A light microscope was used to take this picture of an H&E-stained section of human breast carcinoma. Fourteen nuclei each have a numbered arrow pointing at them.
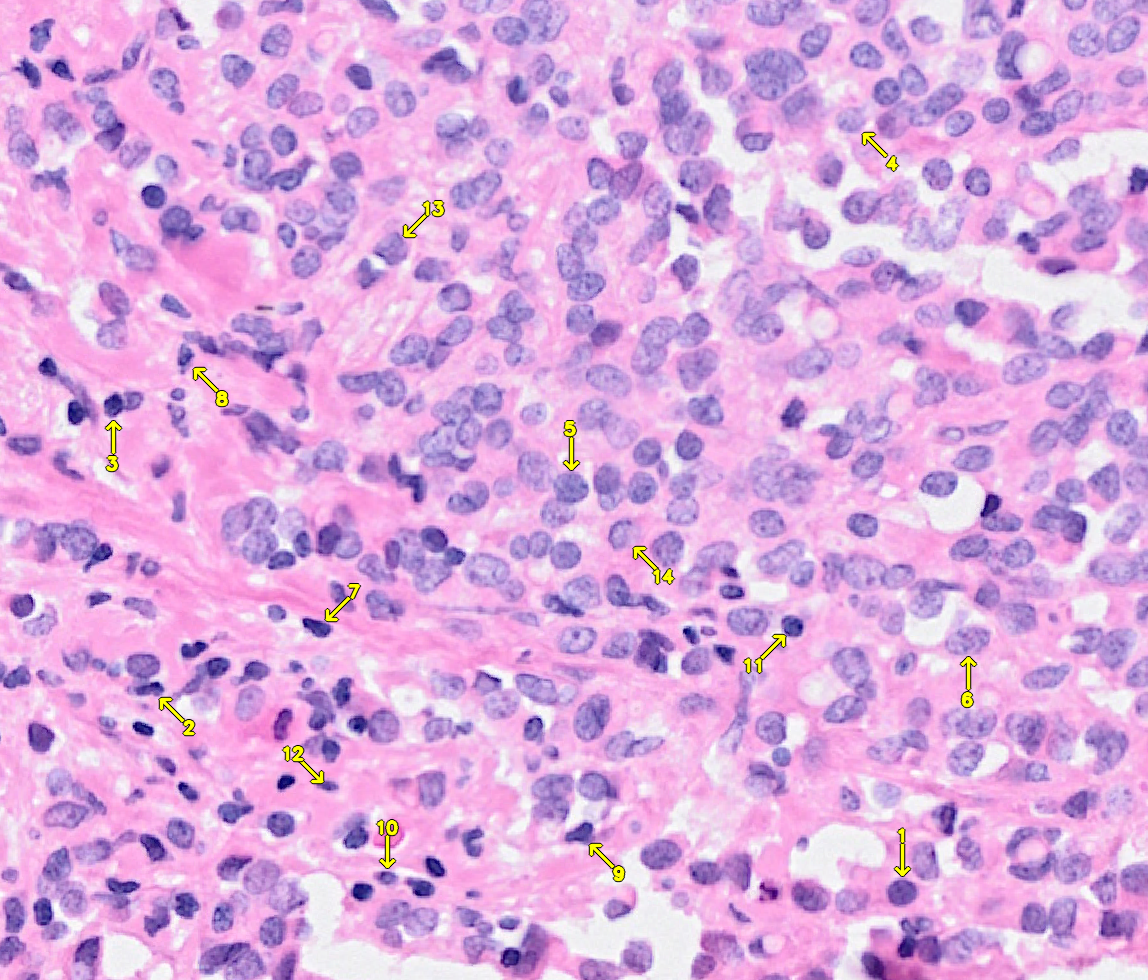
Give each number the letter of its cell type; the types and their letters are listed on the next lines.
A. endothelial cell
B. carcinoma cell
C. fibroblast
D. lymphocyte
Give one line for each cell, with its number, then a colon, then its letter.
1: B
2: D
3: D
4: B
5: B
6: B
7: D
8: D
9: D
10: D
11: D
12: D
13: B
14: B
